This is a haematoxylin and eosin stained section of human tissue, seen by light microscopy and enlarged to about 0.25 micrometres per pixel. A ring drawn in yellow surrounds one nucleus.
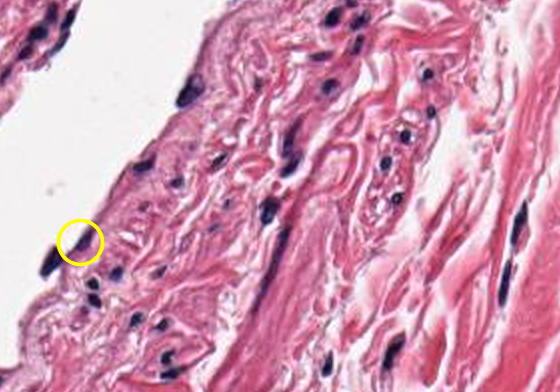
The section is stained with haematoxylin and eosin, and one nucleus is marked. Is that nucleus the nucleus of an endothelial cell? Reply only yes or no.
yes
